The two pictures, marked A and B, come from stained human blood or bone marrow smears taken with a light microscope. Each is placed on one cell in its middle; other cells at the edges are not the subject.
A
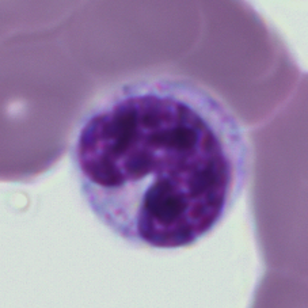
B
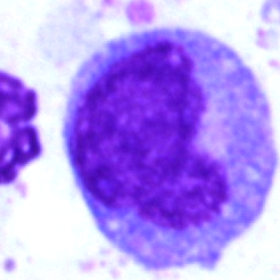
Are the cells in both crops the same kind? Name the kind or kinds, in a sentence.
No, crop B centres on a monocyte, and crop A centres on a band neutrophil.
